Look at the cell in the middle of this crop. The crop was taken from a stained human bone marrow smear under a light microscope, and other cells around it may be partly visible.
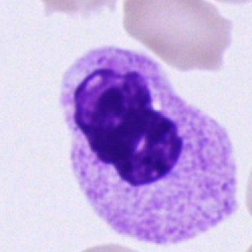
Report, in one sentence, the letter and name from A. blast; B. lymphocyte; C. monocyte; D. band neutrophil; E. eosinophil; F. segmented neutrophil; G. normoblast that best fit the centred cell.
Answer key: option F, the middle cell being a segmented neutrophil.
